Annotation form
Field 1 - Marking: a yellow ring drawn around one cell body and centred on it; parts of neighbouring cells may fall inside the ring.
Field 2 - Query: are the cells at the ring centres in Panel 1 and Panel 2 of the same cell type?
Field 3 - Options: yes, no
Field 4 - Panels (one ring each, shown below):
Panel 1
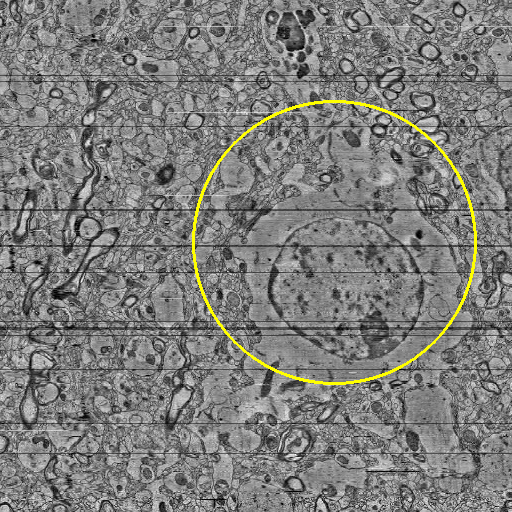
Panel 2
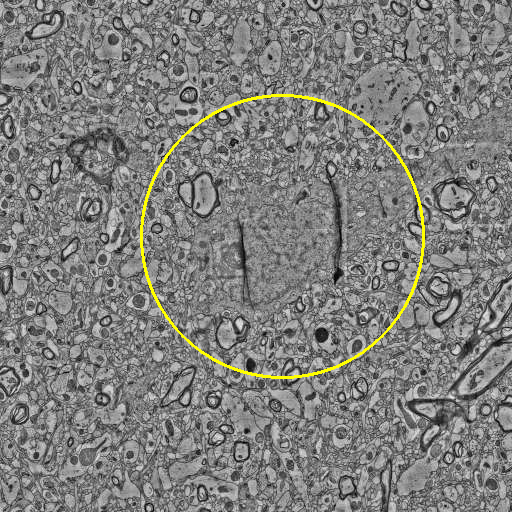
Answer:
no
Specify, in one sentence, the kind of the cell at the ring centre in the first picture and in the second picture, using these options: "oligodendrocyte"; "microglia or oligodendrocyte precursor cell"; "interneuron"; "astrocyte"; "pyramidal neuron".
So the first is an astrocyte, the second a pyramidal neuron.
